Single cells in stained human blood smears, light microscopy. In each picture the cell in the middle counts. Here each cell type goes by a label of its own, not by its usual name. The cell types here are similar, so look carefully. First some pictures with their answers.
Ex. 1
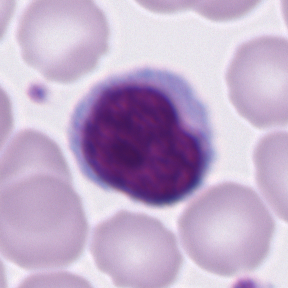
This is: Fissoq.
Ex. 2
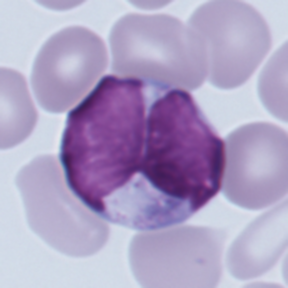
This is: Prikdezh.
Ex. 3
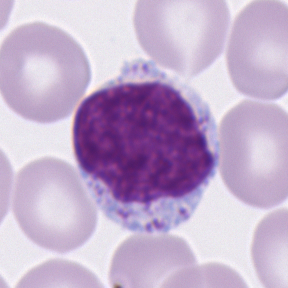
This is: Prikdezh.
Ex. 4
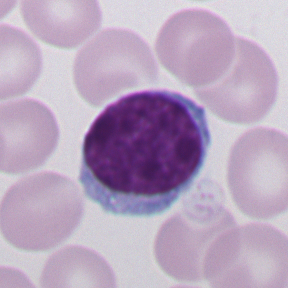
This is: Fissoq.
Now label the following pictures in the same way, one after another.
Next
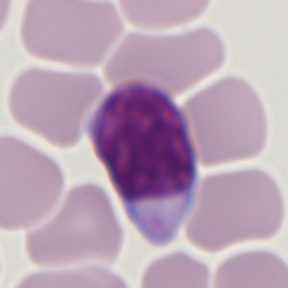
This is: Fissoq.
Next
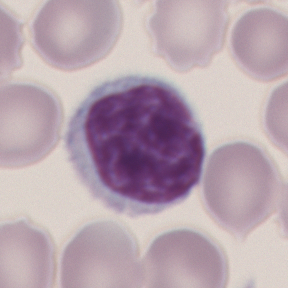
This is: Fissoq.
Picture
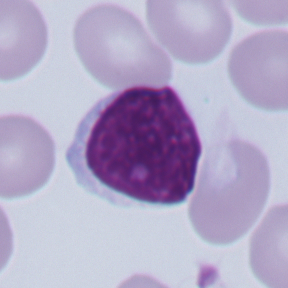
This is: Fissoq.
